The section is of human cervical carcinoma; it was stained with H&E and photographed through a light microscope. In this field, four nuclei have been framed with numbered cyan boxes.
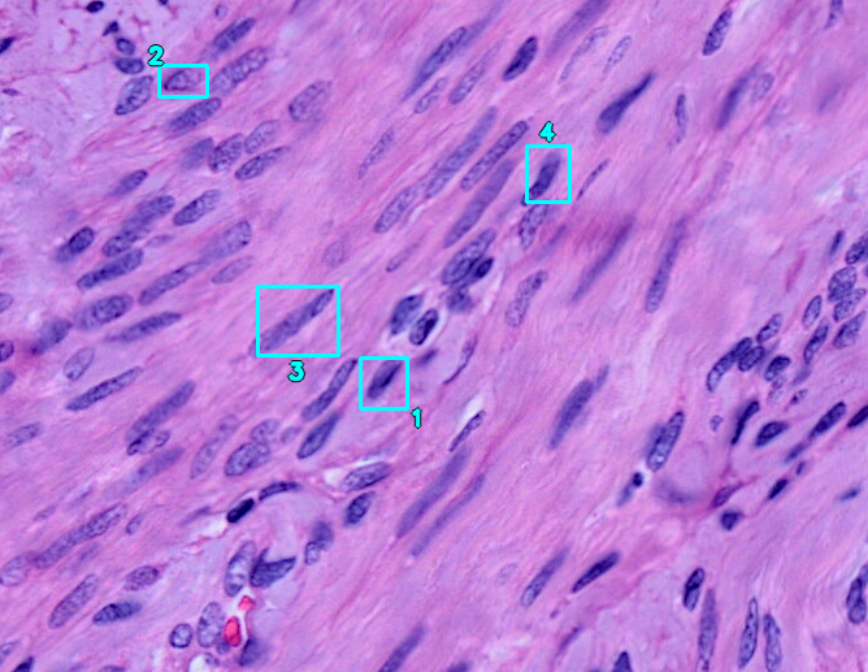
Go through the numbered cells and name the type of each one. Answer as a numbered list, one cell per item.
1. fibroblast
2. smooth muscle cell
3. fibroblast
4. fibroblast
